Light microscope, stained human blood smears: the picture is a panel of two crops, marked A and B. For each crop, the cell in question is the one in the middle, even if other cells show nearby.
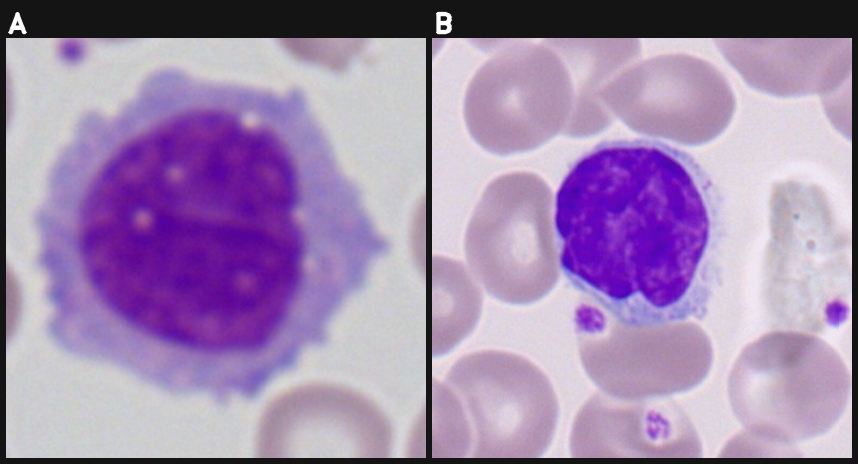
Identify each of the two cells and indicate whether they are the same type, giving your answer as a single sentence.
No, crop A depicts a monocyte, and crop B depicts a lymphocyte.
